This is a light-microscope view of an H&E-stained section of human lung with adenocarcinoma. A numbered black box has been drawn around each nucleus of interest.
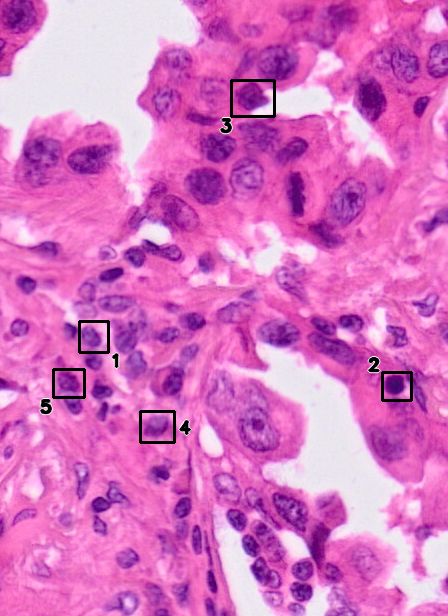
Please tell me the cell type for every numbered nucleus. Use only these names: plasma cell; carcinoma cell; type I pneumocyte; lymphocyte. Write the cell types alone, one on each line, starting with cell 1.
lymphocyte
lymphocyte
carcinoma cell
plasma cell
plasma cell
